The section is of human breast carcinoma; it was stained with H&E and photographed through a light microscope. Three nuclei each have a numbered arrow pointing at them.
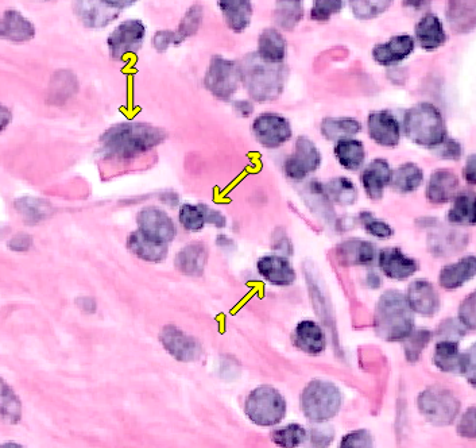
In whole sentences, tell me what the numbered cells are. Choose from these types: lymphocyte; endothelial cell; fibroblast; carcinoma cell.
Cell 1 is a lymphocyte, cell 2 is an endothelial cell and cell 3 is a lymphocyte.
